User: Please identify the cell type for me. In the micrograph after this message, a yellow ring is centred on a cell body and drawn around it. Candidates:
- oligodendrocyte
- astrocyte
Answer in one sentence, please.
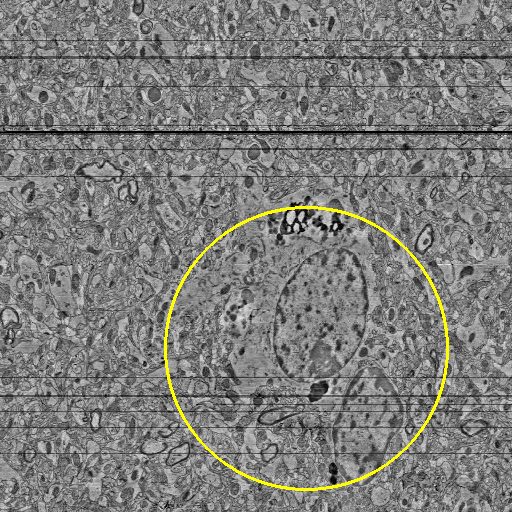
The ring is drawn around the cell body of an astrocyte.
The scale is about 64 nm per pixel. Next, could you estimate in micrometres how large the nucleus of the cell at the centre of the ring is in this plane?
The nucleus is approximately 9 micrometres long but only about 6 wide, clearly longer than it is wide in this plane.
